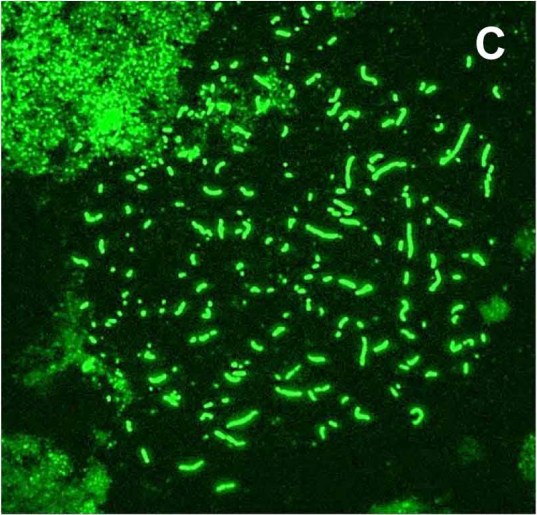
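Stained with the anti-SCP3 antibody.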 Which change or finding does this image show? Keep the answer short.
Pulverized synaptonemal complexes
